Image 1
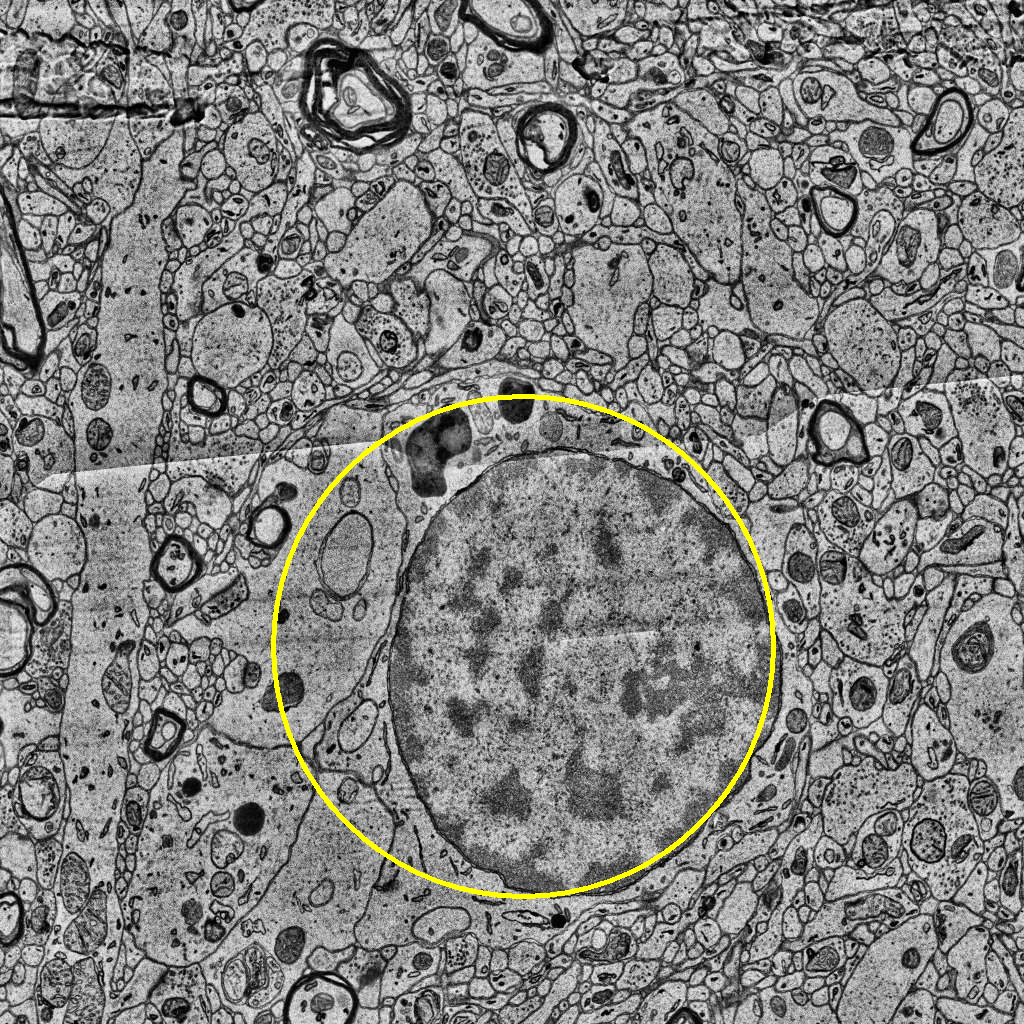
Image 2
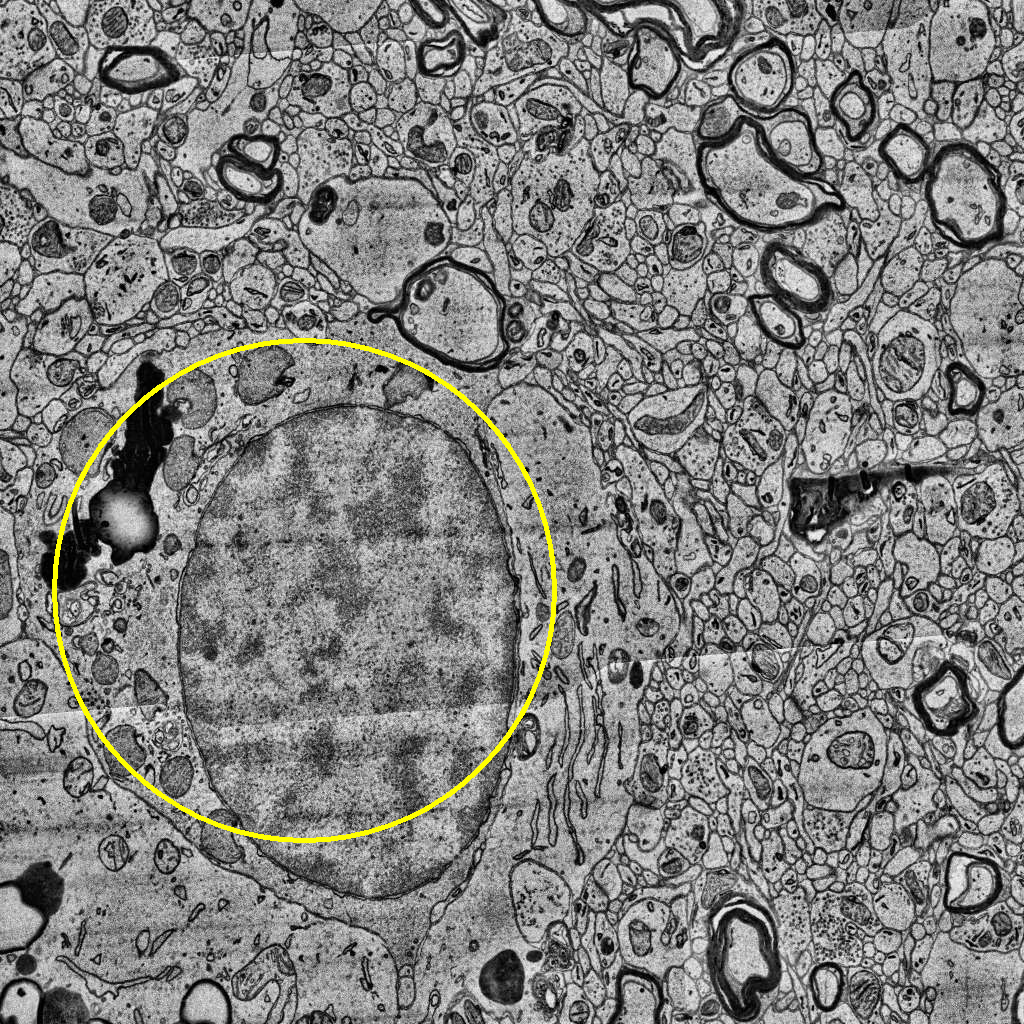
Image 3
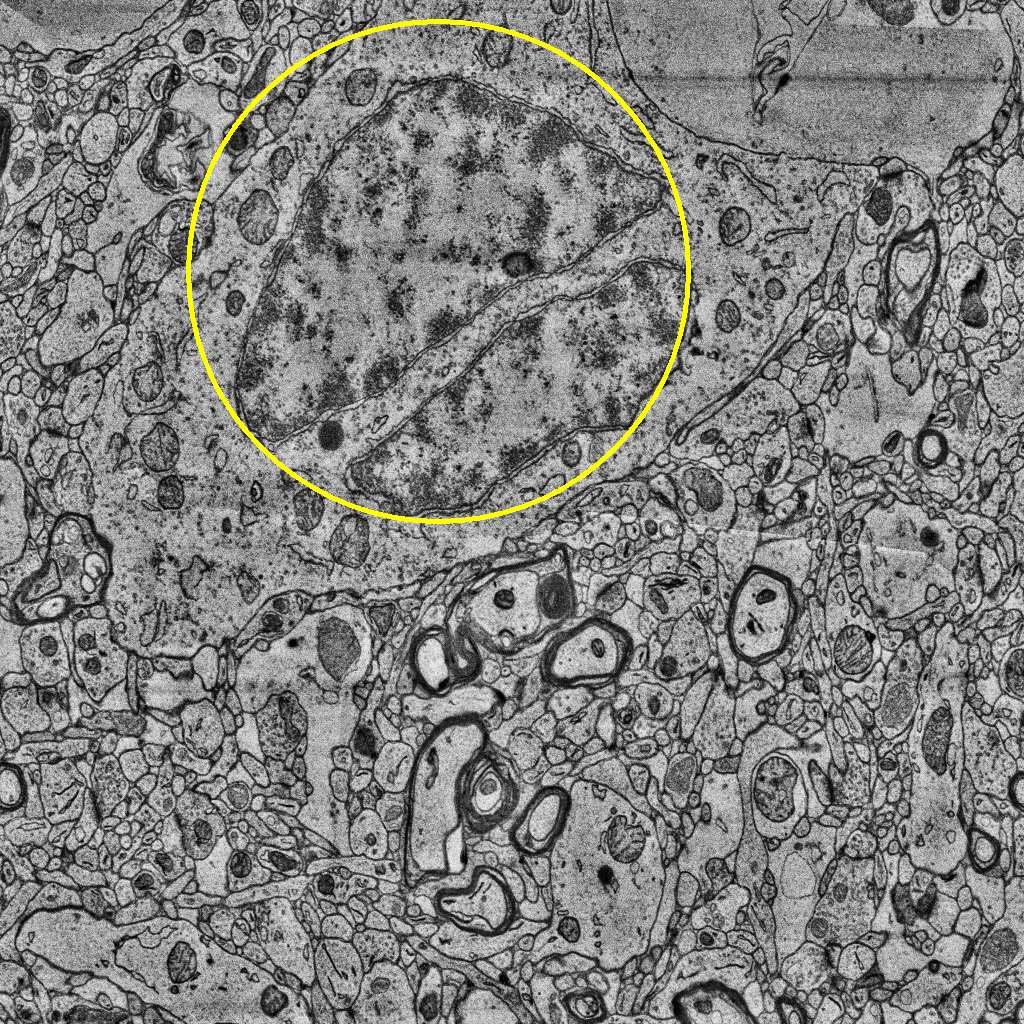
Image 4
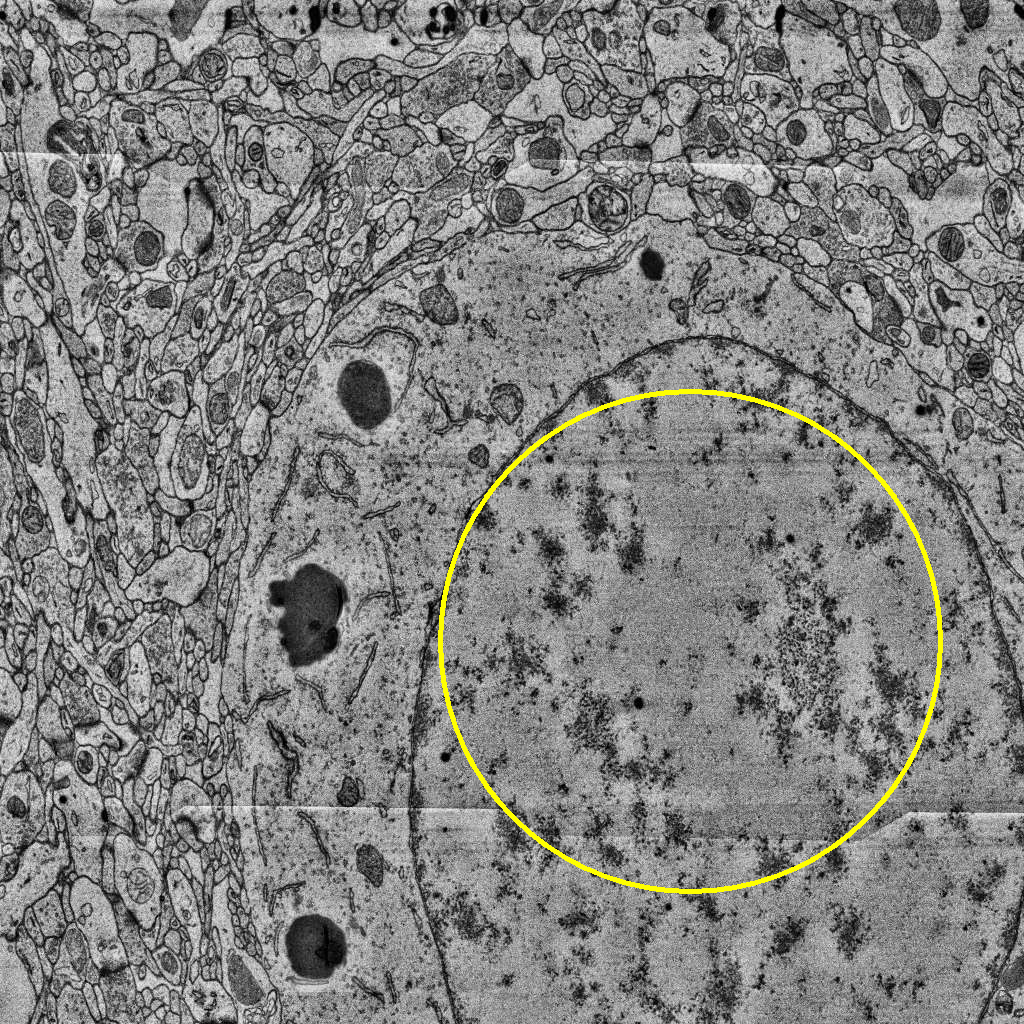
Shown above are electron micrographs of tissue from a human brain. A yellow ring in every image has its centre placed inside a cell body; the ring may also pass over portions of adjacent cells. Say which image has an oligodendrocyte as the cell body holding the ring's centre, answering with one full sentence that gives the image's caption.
The image whose ring has its centre inside the requested cell is Image 2.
